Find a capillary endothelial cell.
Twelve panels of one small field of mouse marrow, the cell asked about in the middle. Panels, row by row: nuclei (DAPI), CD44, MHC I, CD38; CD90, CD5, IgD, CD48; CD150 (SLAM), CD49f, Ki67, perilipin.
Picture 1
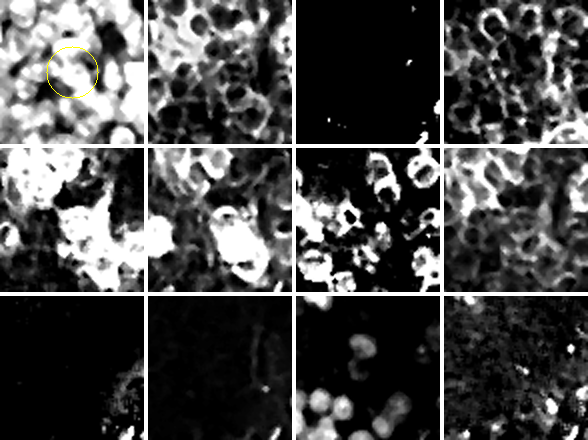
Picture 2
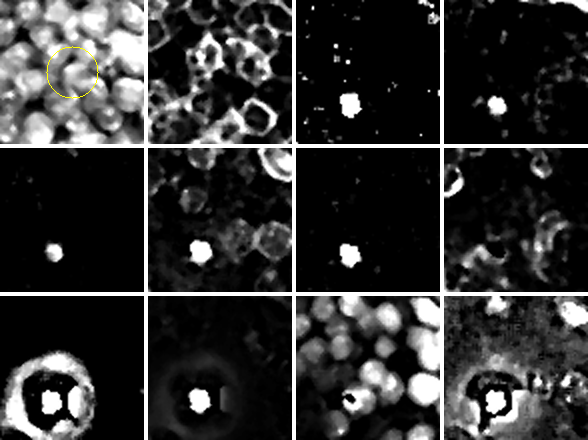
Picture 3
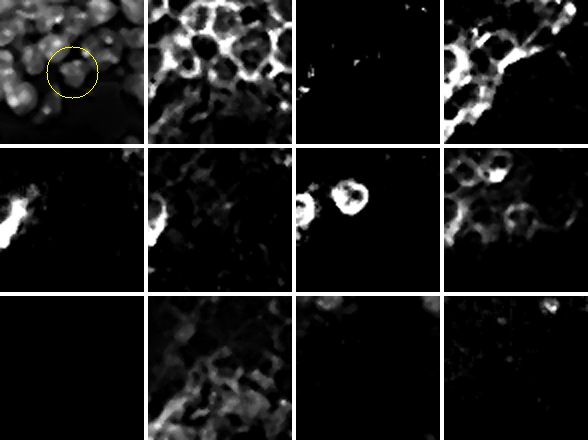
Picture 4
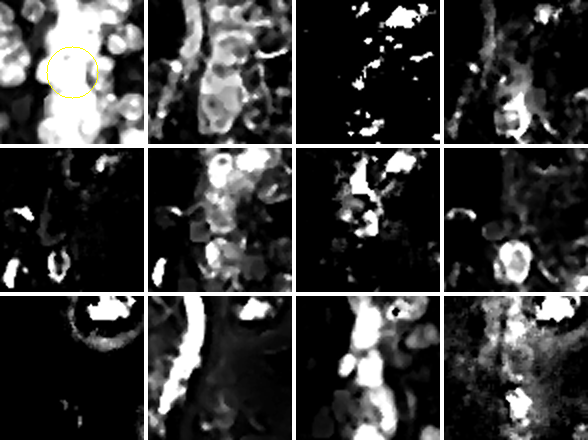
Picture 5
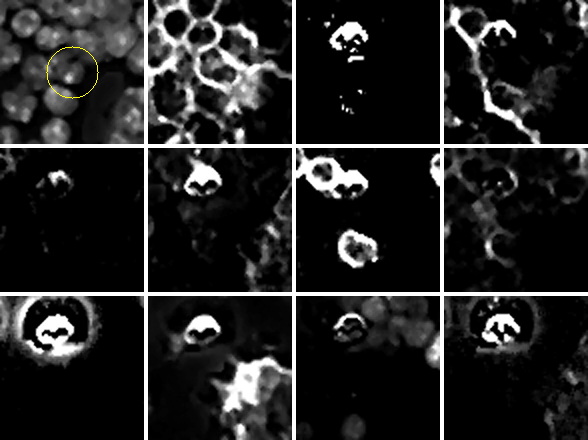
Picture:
3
